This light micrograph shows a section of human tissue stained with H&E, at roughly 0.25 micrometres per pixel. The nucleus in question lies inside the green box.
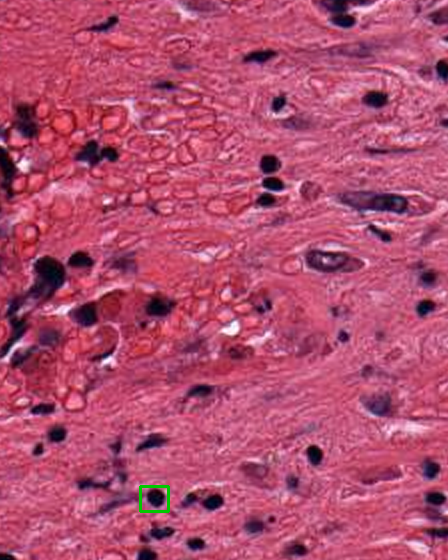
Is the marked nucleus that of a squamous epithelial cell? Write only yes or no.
no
